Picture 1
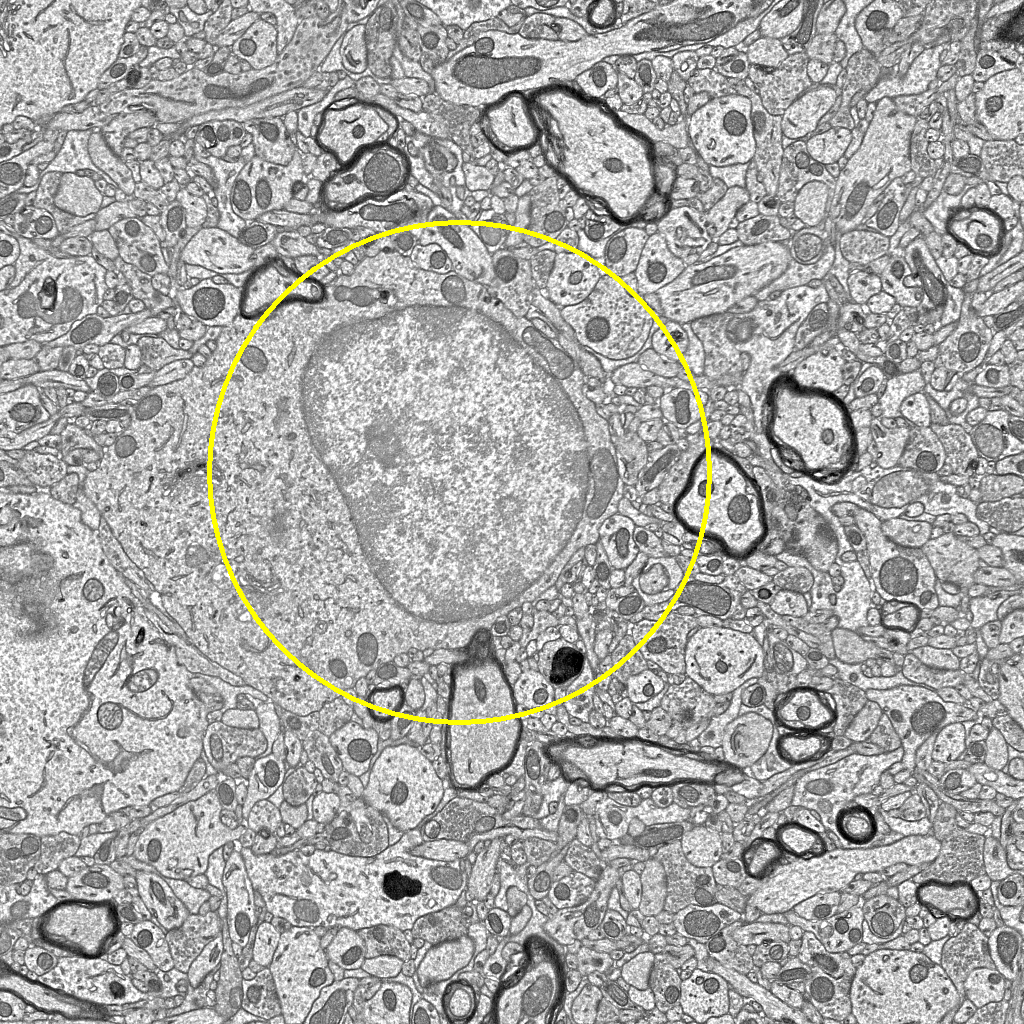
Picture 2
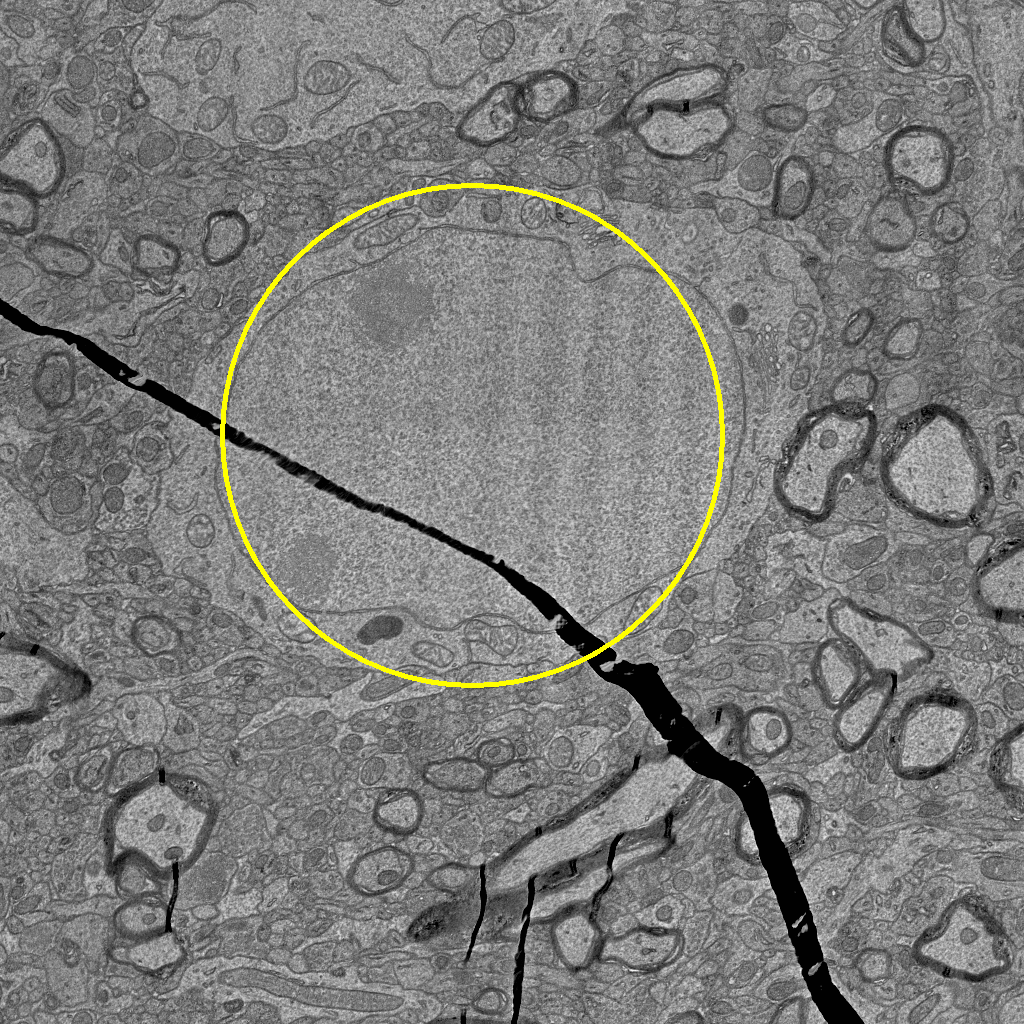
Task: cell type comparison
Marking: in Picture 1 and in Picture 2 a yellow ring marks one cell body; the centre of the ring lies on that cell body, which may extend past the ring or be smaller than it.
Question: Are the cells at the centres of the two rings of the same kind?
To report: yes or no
no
